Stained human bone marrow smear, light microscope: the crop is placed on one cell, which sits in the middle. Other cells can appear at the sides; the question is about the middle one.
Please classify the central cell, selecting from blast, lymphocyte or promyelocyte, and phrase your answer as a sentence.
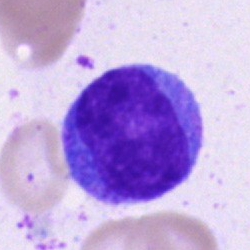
The cell under consideration, at the middle of the crop, is a blast.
